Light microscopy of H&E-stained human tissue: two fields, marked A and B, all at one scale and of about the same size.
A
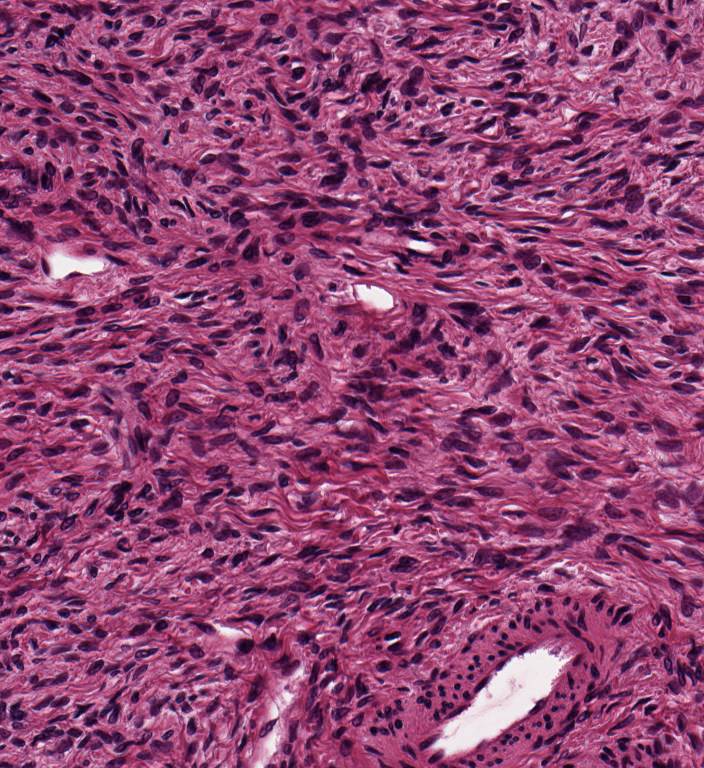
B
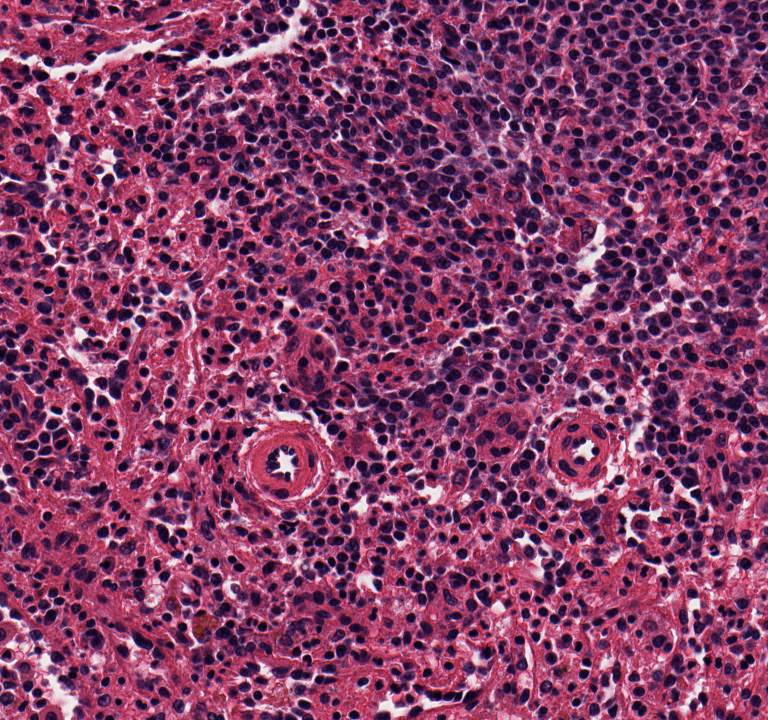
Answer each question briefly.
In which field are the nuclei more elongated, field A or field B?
A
